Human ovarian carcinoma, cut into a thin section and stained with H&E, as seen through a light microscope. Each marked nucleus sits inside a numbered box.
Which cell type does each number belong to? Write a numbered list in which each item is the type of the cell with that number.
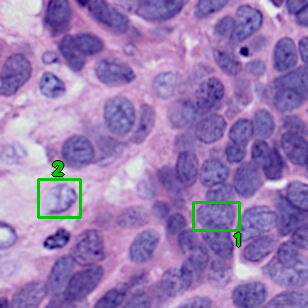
1. carcinoma cell
2. fibroblast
